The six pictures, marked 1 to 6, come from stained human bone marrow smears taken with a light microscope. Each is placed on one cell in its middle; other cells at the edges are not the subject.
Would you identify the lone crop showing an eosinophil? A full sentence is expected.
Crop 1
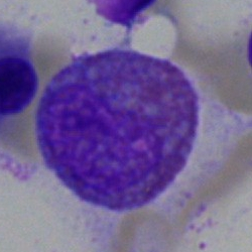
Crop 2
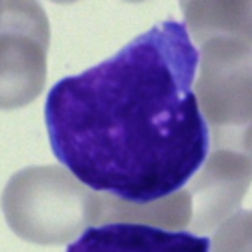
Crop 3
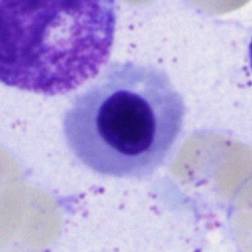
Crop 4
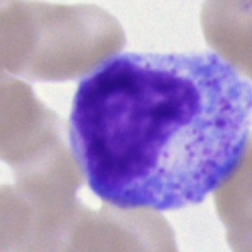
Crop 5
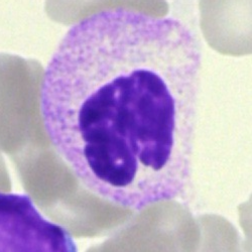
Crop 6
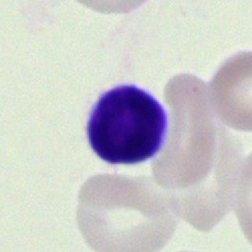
The cell identified as an eosinophil is the one in crop 1.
